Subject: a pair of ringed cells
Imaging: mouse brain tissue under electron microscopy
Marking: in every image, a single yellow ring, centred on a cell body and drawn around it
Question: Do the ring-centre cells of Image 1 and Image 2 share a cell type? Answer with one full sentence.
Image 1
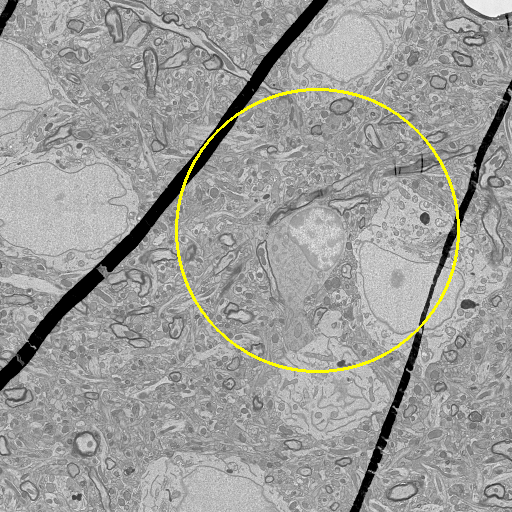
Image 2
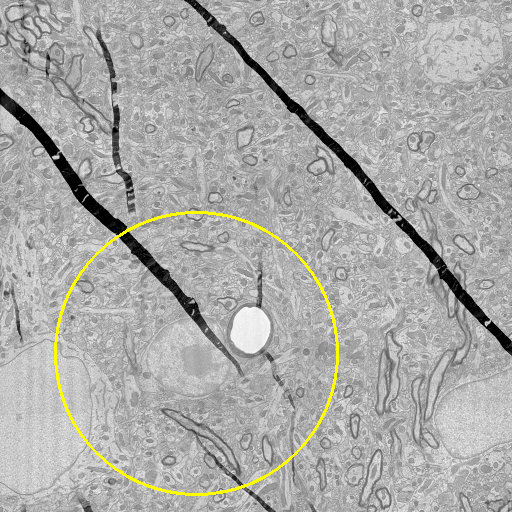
Yes, at each ring's centre in the images sits a cell of one common type.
